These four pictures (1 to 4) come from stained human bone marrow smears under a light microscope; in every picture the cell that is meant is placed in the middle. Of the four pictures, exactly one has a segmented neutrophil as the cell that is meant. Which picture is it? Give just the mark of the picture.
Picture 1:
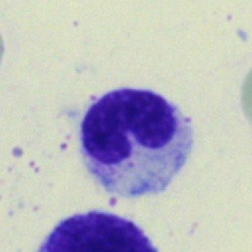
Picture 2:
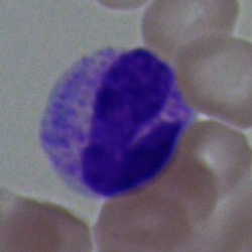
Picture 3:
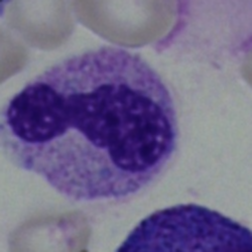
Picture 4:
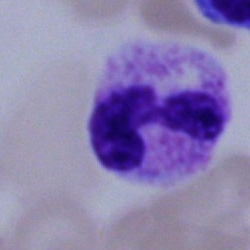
4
